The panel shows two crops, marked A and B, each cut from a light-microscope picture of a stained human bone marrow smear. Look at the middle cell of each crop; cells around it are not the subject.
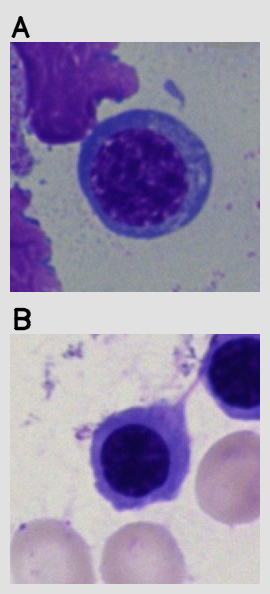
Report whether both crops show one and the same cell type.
yes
